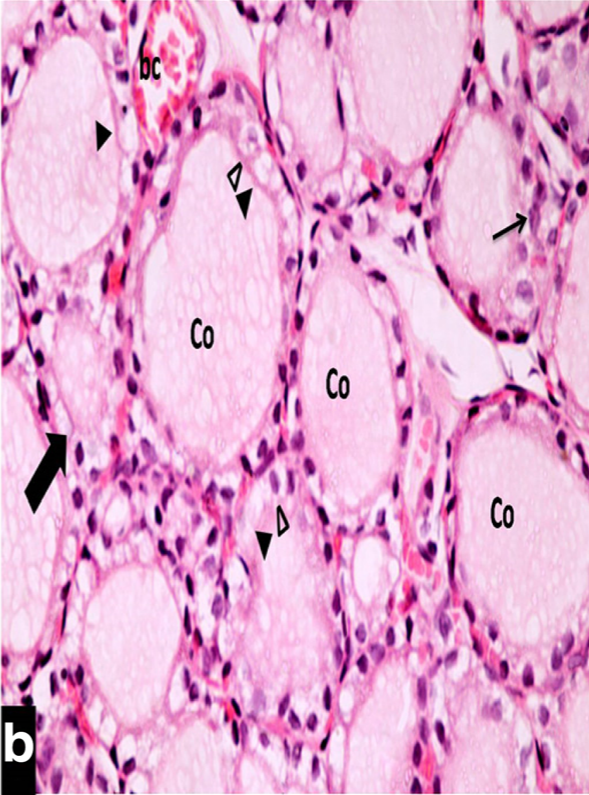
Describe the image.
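Thyroid gland tissue with closely packed follicles holding pale pink, finely vacuolated colloid. The follicular lining cells carry dark purple nuclei; many cells look swollen with pale, clear cytoplasm. At the right, one follicle is lined by several layers of follicular cells that crowd into its lumen. At the left edge a small follicle has a narrow lumen. Between the follicles the interstitium holds many nuclei, and at the top a blood capillary is distended with red blood cells.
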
